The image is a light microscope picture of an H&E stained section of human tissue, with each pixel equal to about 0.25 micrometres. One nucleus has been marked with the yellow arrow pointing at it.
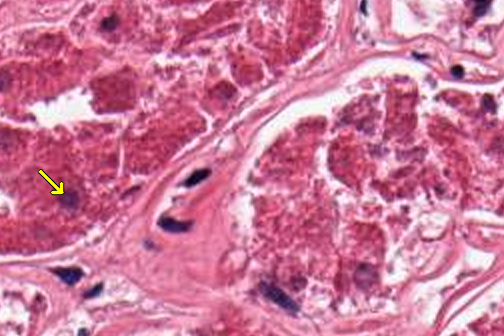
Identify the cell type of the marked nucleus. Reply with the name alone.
proximal tubule cell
